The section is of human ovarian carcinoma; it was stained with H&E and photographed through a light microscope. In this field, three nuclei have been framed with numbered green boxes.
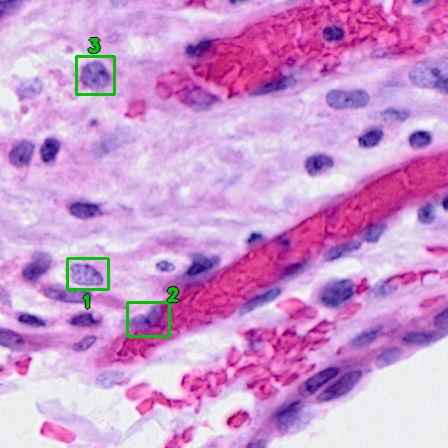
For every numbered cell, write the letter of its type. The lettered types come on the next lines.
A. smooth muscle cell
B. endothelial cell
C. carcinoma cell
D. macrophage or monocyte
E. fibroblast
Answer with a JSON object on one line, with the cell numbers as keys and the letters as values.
{"1": "D", "2": "B", "3": "D"}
